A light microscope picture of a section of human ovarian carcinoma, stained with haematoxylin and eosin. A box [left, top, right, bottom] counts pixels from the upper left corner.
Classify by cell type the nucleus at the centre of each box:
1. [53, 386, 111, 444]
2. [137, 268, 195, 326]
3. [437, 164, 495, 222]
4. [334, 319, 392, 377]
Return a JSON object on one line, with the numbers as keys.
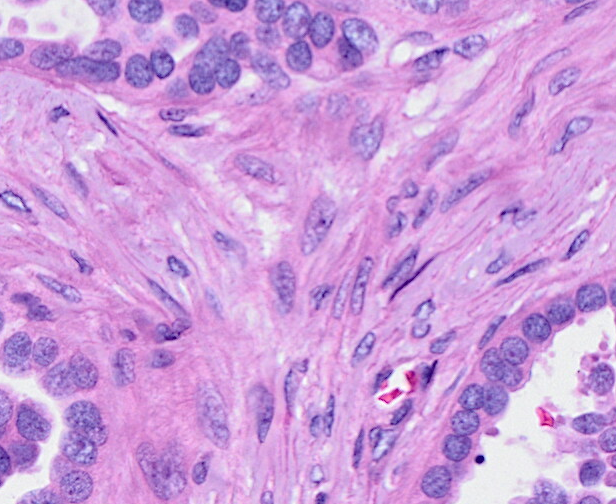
{"1": "carcinoma cell", "2": "fibroblast", "3": "fibroblast", "4": "fibroblast"}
